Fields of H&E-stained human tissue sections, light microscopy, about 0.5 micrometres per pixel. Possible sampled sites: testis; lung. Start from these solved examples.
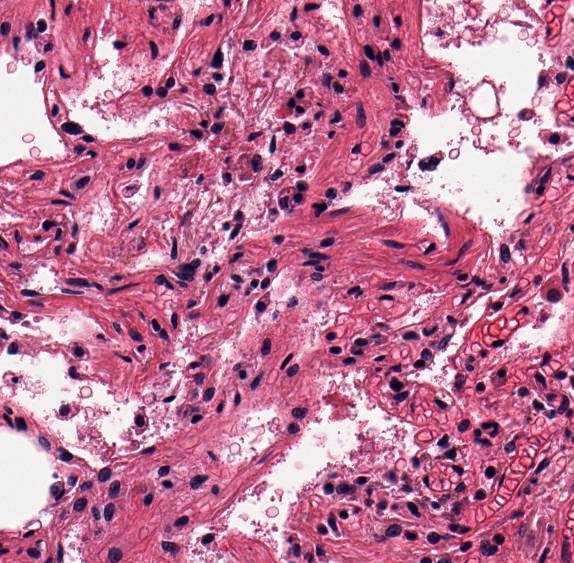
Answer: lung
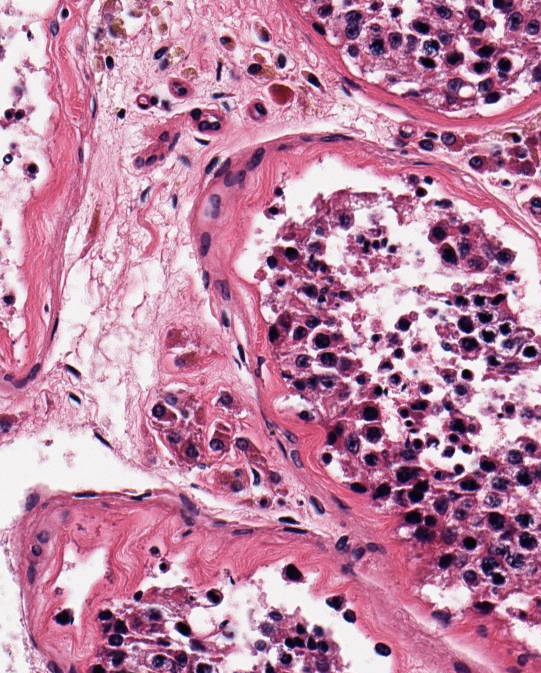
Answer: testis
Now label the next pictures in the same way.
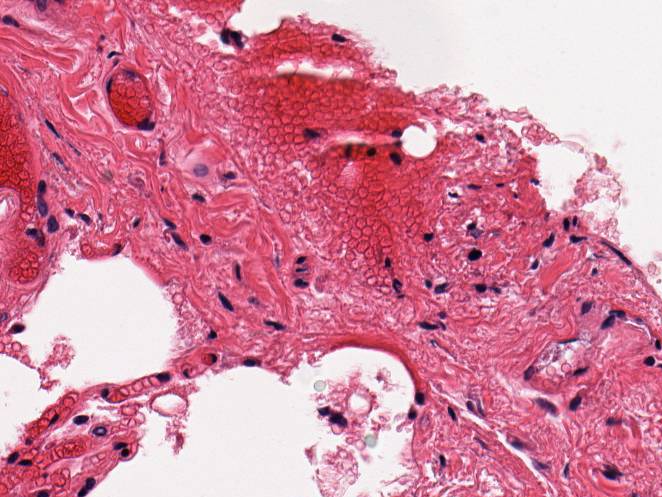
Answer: lung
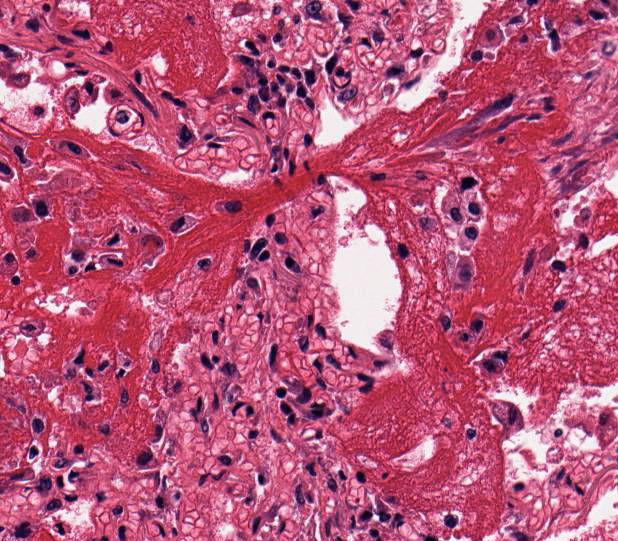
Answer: lung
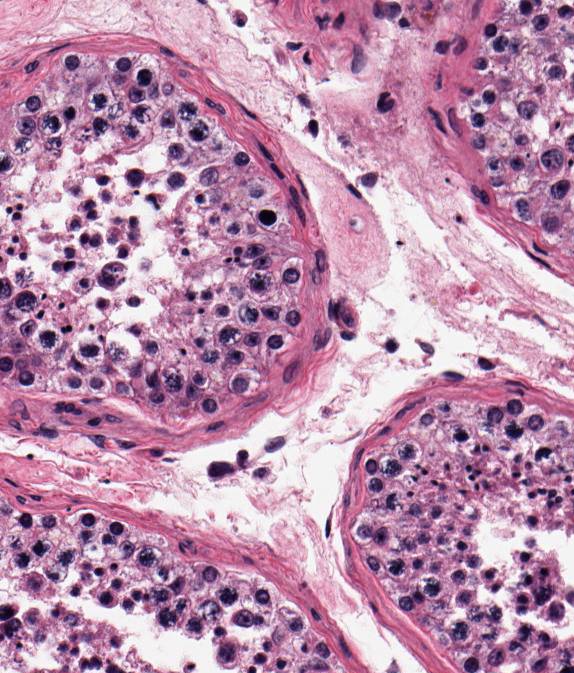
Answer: testis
